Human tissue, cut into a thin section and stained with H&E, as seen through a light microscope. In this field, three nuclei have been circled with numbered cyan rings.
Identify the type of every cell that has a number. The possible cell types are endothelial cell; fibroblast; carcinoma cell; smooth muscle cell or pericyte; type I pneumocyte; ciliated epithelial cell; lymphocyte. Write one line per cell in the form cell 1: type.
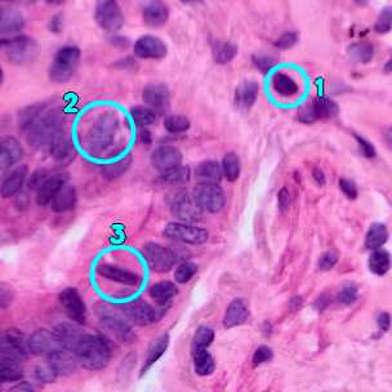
cell 1: lymphocyte
cell 2: ciliated epithelial cell
cell 3: ciliated epithelial cell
